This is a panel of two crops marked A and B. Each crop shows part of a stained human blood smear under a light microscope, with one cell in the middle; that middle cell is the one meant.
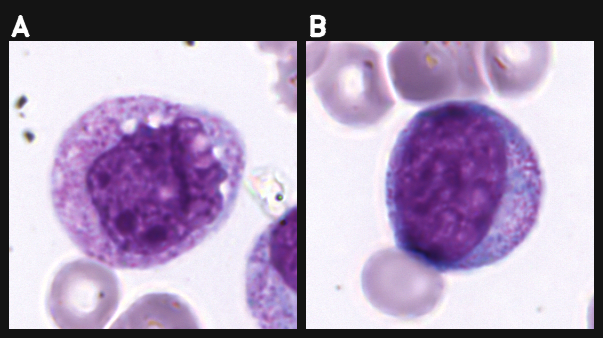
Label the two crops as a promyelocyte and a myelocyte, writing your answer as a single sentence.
In crop A, a myelocyte is present; in crop B, a promyelocyte is present.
